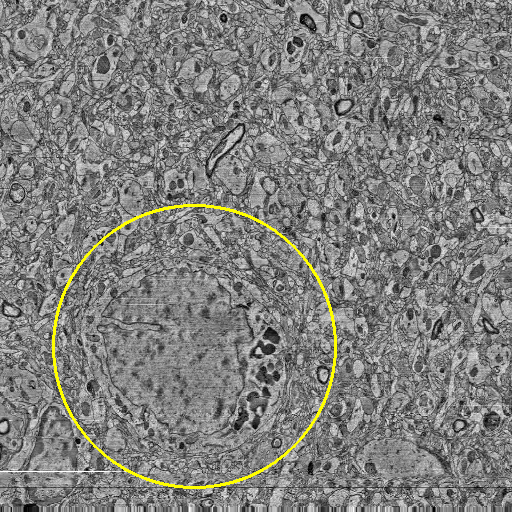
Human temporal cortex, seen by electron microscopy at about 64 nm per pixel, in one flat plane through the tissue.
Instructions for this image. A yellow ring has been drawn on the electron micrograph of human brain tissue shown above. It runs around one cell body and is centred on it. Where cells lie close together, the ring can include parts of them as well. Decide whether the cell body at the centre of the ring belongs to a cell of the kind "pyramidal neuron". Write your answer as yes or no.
no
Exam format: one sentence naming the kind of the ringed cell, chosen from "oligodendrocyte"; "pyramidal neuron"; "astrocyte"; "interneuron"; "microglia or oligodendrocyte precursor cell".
The cell in question here is an interneuron.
